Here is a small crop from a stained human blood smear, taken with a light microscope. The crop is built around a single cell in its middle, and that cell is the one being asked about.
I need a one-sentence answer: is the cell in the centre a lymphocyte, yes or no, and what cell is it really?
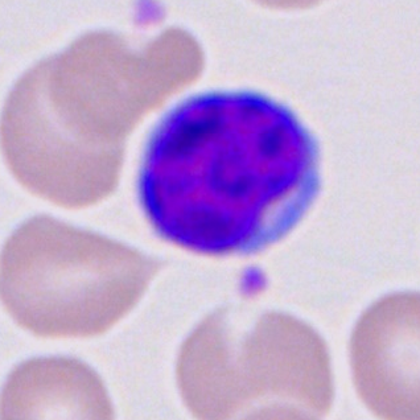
Yes, the cell of interest in the centre is a lymphocyte.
